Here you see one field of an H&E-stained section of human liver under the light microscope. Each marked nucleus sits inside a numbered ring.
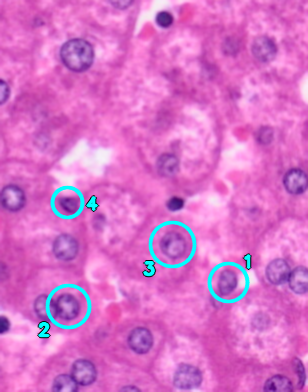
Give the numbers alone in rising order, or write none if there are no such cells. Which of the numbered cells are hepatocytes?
2, 3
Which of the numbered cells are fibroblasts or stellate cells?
4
